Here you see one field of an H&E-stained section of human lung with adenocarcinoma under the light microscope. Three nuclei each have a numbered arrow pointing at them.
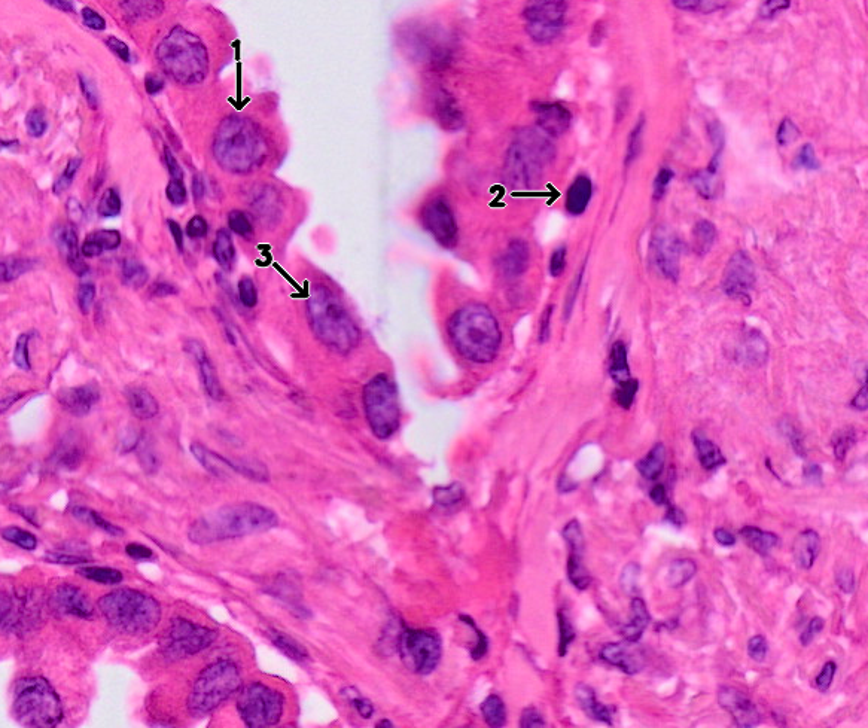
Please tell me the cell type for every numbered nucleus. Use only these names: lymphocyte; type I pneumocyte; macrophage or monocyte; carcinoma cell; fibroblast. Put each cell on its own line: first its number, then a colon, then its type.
1: carcinoma cell
2: lymphocyte
3: carcinoma cell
